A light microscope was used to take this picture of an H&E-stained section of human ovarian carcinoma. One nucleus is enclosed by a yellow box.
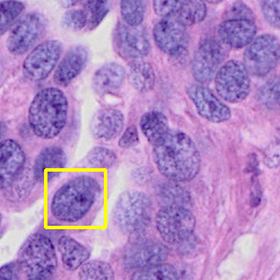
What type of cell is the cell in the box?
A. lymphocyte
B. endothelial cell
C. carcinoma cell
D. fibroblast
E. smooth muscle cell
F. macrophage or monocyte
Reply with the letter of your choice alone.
C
